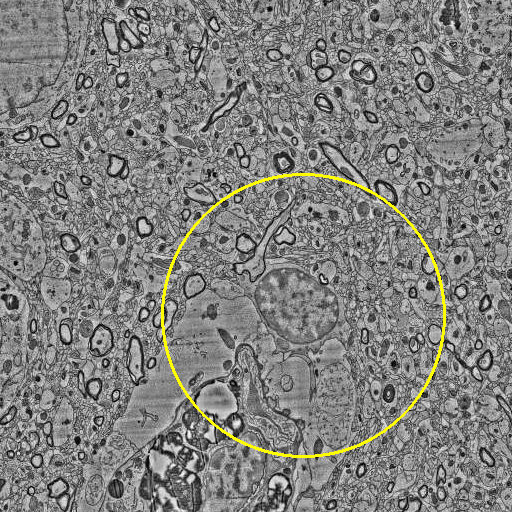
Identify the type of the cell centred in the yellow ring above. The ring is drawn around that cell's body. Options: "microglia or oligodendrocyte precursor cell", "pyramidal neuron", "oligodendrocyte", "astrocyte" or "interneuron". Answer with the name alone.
oligodendrocyte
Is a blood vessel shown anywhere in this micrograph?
Yes, a blood vessel can be seen.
